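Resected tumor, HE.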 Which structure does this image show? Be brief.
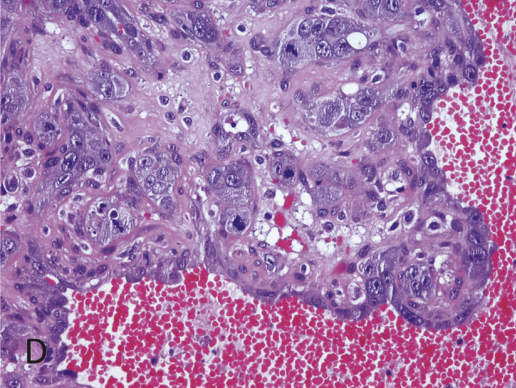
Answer: Prominent tufts and papilations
